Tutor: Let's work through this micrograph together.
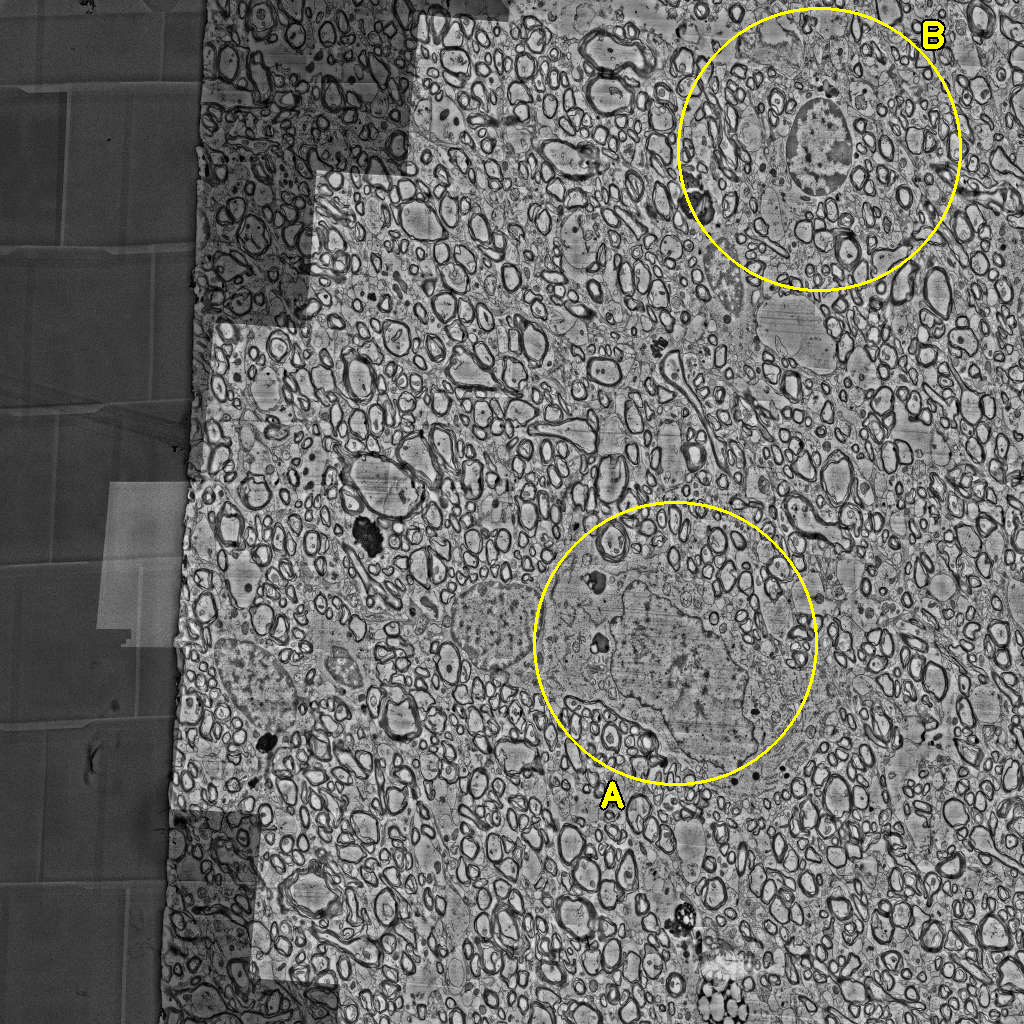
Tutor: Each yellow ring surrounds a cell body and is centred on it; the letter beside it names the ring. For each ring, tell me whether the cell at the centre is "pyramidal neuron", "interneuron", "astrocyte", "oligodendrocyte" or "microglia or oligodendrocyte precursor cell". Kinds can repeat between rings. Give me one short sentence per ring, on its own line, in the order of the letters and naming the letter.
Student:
The ring labelled A is centred on a pyramidal neuron.
The ring labelled B is centred on a microglial cell or oligodendrocyte precursor cell.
